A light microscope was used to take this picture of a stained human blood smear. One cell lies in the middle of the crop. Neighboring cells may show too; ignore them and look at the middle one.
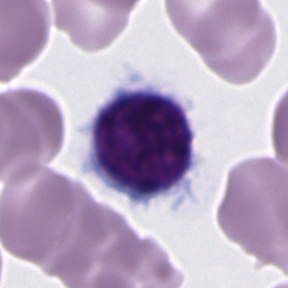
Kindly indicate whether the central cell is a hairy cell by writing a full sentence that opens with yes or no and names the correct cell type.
Yes, the cell in the middle is recognised as a hairy cell.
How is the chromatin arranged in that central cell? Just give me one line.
The chromatin of this one is coarsely clumped.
